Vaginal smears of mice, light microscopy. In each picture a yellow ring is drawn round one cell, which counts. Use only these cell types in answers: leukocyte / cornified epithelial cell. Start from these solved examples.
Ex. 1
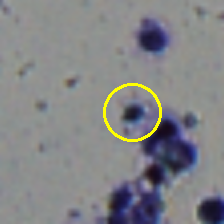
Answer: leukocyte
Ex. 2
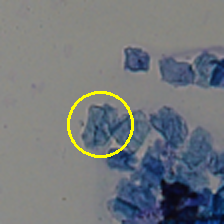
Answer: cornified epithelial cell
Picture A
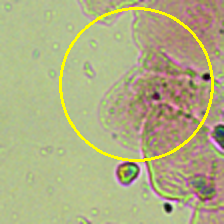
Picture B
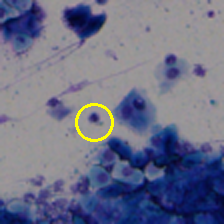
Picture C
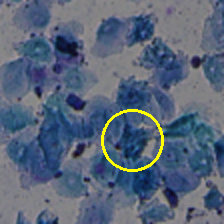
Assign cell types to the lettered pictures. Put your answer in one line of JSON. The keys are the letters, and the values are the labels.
{"A": "cornified epithelial cell", "B": "leukocyte", "C": "cornified epithelial cell"}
